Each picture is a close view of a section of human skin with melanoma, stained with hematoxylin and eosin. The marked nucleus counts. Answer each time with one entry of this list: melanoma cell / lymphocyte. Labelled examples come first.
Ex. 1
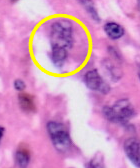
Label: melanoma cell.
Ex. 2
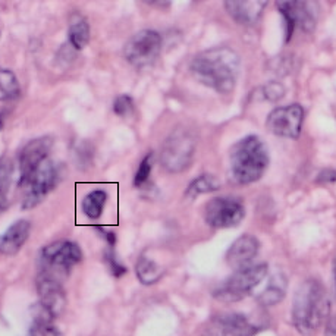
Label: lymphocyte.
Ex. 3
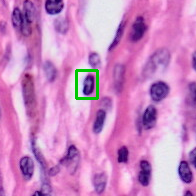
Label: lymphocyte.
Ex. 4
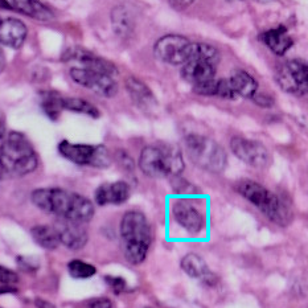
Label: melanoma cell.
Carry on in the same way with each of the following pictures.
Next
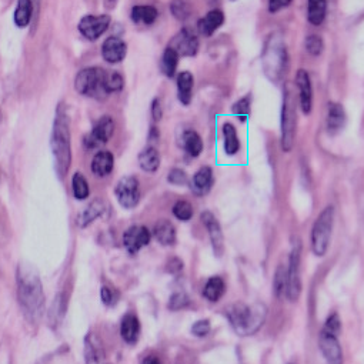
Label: lymphocyte.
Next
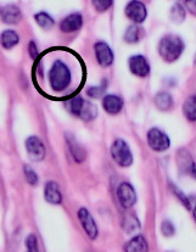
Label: lymphocyte.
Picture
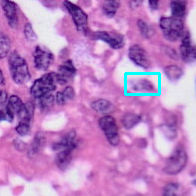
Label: melanoma cell.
